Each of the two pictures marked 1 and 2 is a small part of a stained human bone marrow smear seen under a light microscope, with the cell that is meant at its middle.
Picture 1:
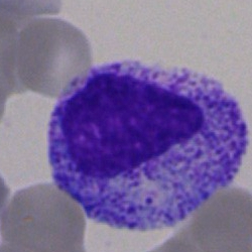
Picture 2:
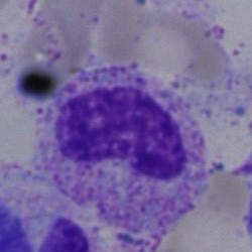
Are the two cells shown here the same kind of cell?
no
